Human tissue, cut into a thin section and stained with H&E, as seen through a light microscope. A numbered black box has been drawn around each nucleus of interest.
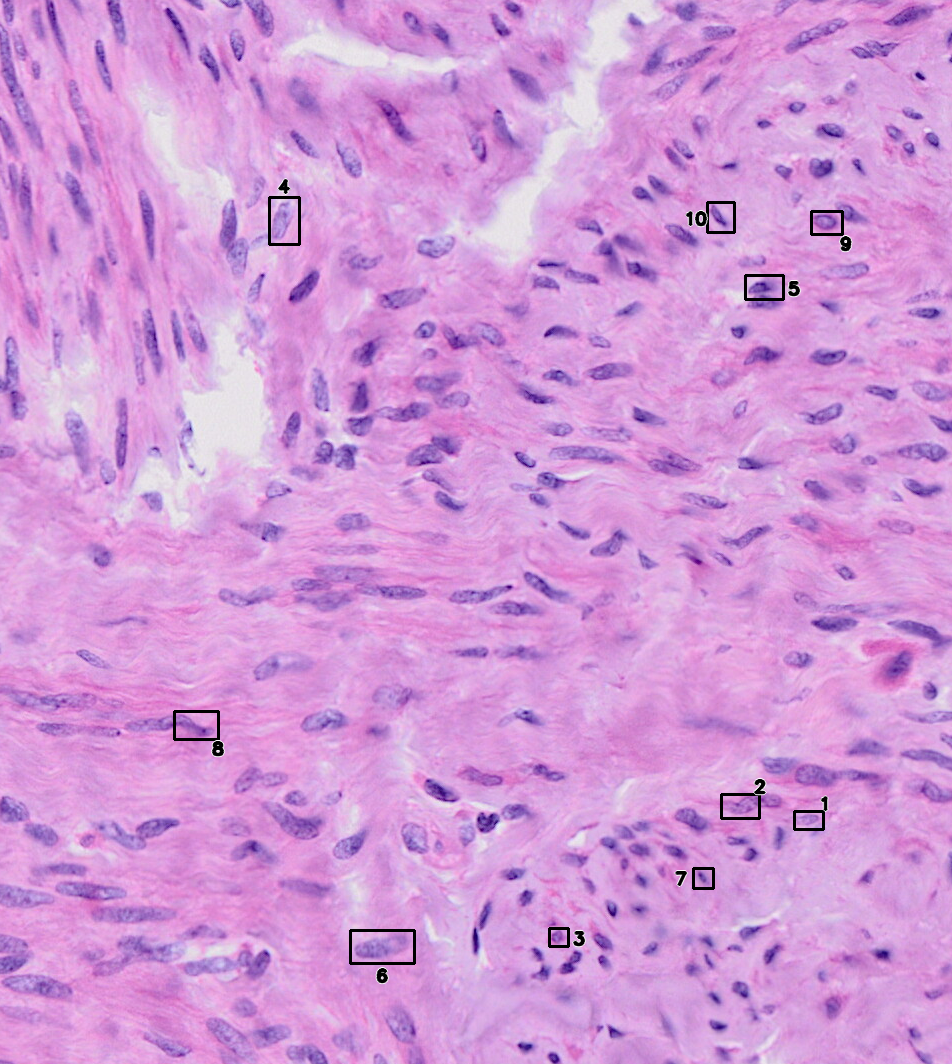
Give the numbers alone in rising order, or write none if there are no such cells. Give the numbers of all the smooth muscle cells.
1, 2, 3, 7, 8, 9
